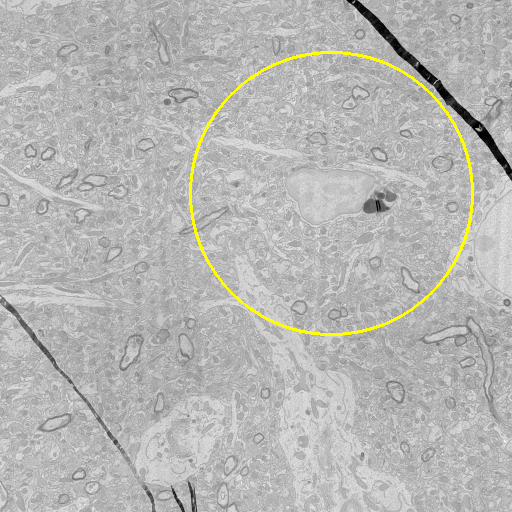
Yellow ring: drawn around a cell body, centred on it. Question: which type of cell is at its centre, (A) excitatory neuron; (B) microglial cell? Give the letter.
B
